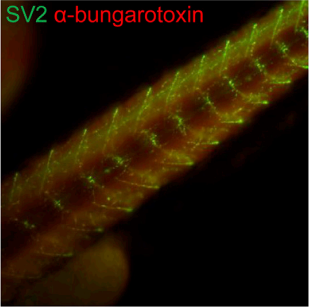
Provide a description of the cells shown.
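Trunk seen from the side, with fine green processes of motoneurons running across the muscle band. The green processes recur at regular intervals, one per segment, each running obliquely across the trunk. Small bright green dots line up along a central longitudinal line and along the processes. The red stain is faint and diffuse over the trunk. The pattern is regular and repeated along the whole length shown.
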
